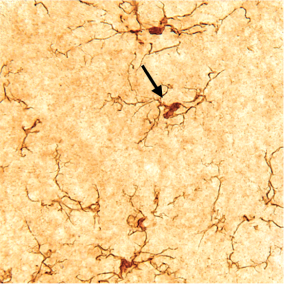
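Glial cells in brain tissue appear as brown-stained cells on a pale yellowish background. Each has a small, compact, darkly stained cell body, often elongated, from which several fine, thin processes extend and branch repeatedly into delicate ramifications. Some cell bodies are seen only as small dark spots with short processes, possibly cut at the edge of the section. The surrounding tissue is unstained and finely granular.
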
